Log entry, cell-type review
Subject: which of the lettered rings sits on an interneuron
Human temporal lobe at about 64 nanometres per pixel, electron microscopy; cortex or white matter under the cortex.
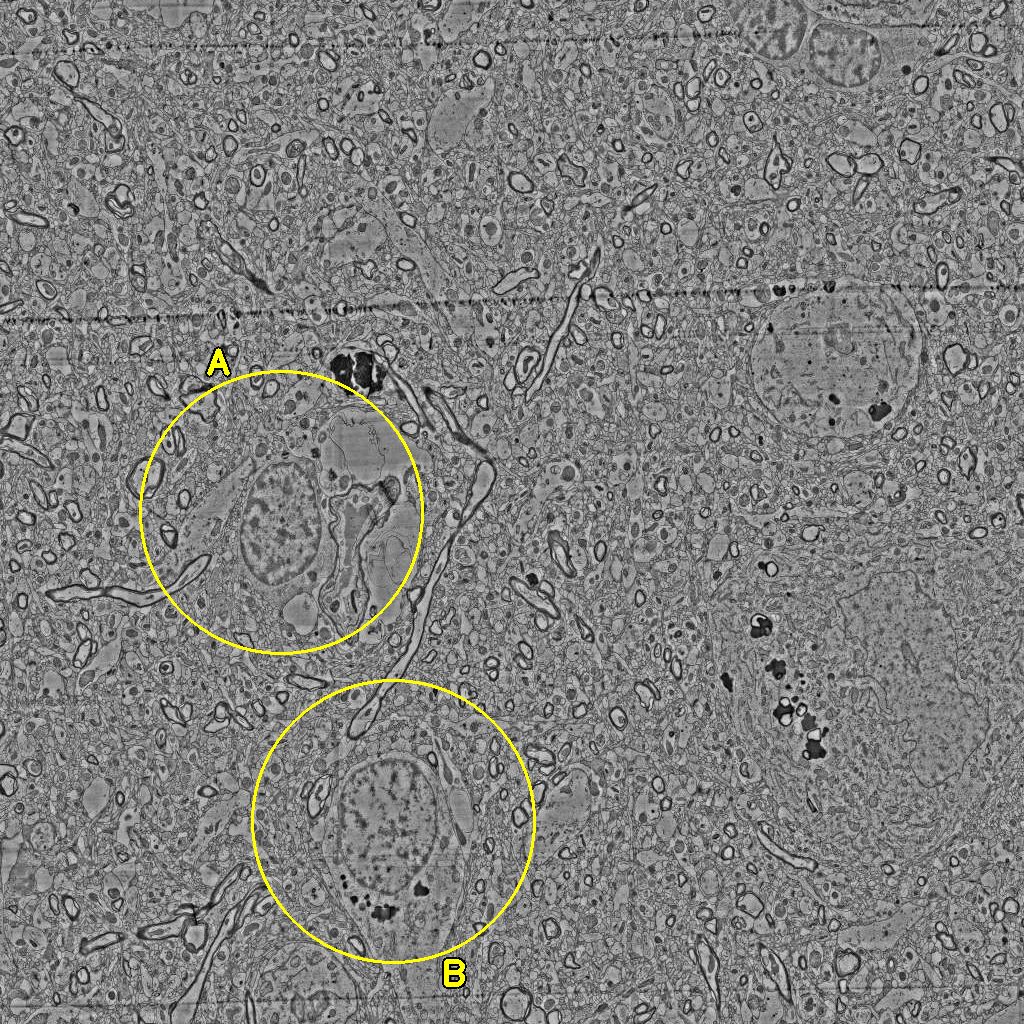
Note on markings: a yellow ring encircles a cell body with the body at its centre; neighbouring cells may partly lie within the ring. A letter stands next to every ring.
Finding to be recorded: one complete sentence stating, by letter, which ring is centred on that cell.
The cell sits at the centre of ring B.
